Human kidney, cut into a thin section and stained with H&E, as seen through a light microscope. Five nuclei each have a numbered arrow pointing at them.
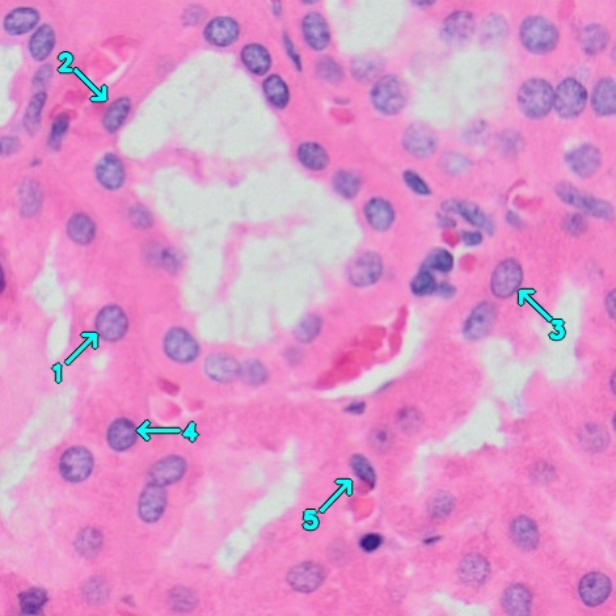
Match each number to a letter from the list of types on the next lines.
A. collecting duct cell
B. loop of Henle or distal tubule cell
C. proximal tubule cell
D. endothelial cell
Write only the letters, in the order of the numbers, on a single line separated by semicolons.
C; B; C; C; D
